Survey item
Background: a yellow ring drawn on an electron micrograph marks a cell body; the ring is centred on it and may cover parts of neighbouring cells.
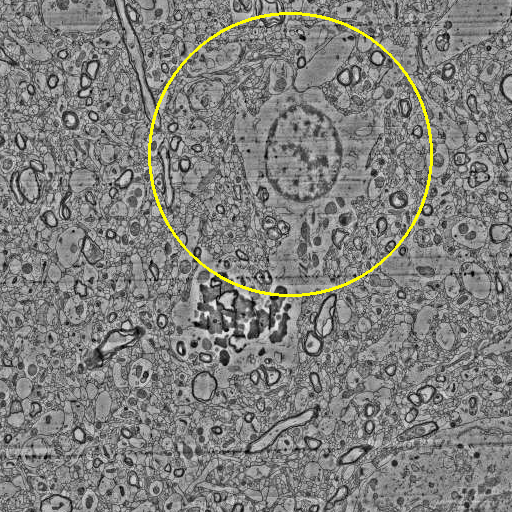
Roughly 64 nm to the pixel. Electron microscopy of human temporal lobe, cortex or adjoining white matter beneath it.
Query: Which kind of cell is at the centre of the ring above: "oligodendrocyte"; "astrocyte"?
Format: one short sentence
The cell in the middle of the ring is an astrocyte.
